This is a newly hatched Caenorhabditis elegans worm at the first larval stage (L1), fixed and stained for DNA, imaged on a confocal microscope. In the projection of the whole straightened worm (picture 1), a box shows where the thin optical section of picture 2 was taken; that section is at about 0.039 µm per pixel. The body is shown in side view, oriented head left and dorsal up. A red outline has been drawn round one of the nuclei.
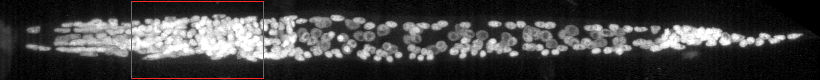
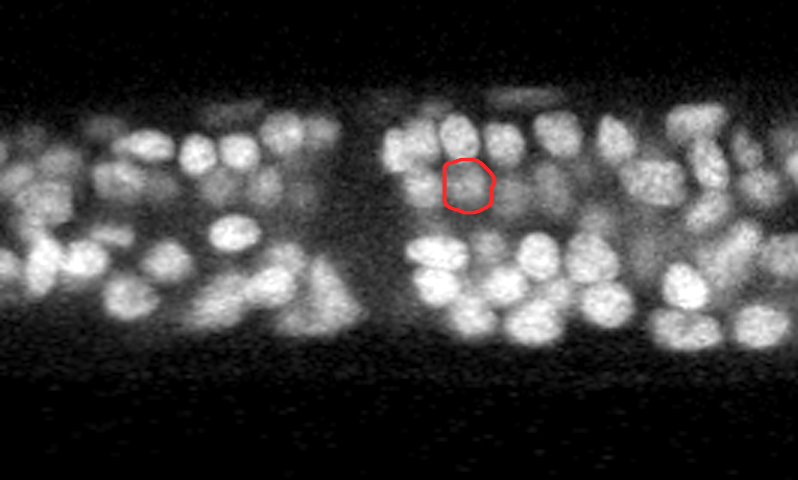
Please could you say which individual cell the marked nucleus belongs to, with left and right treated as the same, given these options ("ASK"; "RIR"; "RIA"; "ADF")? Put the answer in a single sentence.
It belongs to RIA, a neuron.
